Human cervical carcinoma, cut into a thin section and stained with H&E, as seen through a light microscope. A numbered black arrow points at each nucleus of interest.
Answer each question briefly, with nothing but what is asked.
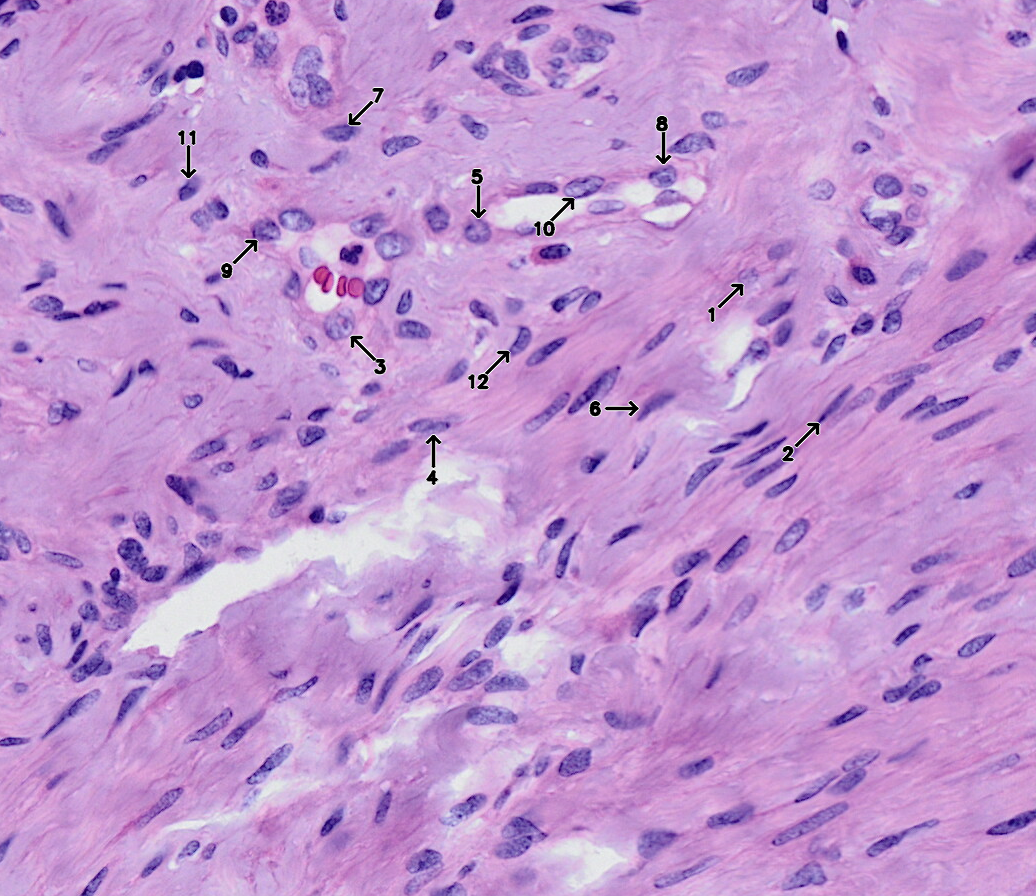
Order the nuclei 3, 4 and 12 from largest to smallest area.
3, 4, 12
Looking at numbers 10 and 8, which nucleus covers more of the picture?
10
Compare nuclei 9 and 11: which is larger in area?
9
